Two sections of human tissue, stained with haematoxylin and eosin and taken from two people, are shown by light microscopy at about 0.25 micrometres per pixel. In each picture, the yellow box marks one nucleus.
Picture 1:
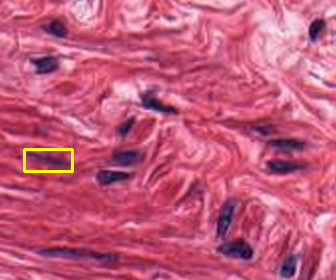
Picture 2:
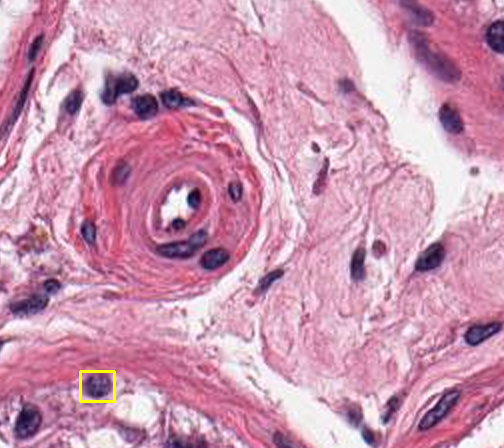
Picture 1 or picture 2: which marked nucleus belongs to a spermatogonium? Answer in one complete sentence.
The one marked nucleus that belongs to a spermatogonium is found in picture 2.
